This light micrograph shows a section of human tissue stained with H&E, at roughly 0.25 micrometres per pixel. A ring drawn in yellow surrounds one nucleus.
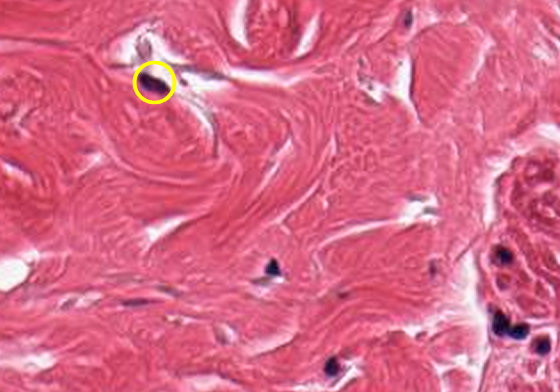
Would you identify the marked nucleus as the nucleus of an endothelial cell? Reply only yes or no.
no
